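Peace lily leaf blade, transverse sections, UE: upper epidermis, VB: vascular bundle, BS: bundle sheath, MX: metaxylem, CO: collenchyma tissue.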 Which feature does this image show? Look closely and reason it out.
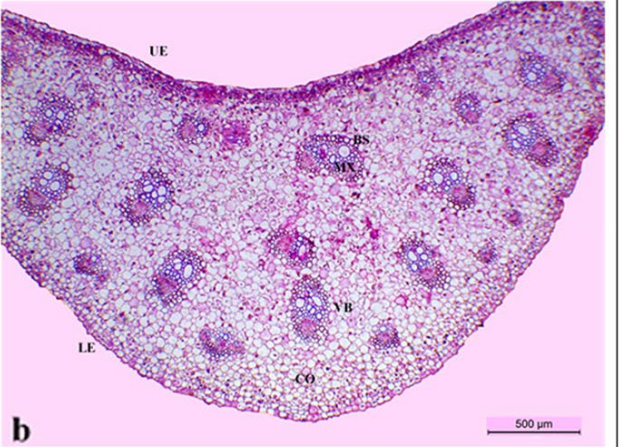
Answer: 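A thick, bulging region of the blade is cut across. Many vascular bundles of different sizes are scattered through parenchyma.
Conclusion: midrib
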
